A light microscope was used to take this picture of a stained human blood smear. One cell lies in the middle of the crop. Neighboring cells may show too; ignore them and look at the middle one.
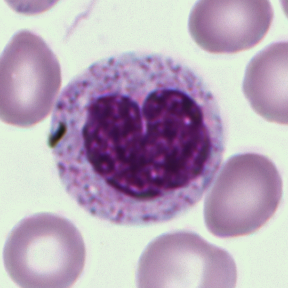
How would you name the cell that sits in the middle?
band neutrophil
